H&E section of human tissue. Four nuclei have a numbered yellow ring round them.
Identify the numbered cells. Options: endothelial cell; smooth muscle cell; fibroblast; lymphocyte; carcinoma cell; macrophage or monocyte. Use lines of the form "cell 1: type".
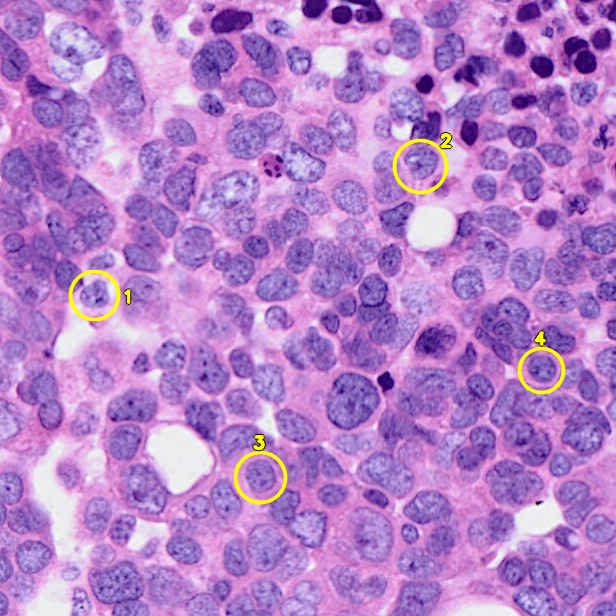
cell 1: macrophage or monocyte
cell 2: carcinoma cell
cell 3: carcinoma cell
cell 4: carcinoma cell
